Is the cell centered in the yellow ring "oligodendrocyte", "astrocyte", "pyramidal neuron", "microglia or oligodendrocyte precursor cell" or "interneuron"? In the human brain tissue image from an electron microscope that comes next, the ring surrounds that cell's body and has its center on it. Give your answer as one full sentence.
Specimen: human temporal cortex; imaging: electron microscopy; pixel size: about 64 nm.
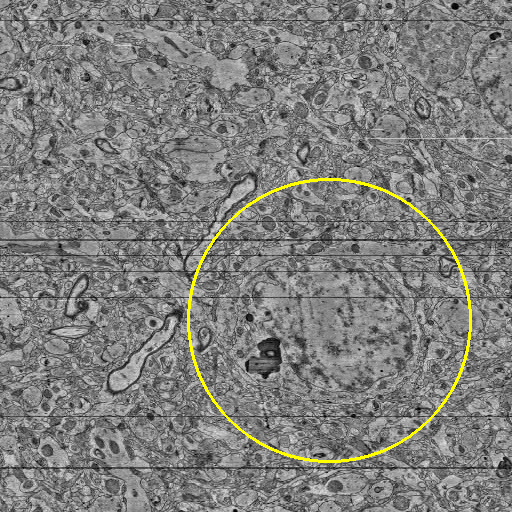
The cell at the center of the yellow ring is an interneuron in the micrograph.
